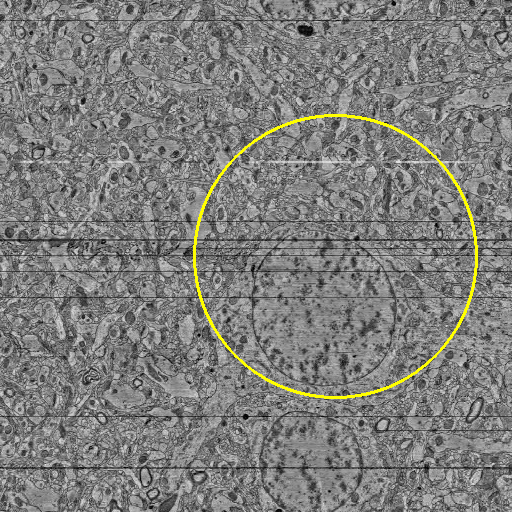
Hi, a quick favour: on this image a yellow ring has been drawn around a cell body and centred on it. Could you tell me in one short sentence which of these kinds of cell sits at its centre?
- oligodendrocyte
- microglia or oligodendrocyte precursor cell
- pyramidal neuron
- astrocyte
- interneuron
The ring is centred on a pyramidal neuron.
